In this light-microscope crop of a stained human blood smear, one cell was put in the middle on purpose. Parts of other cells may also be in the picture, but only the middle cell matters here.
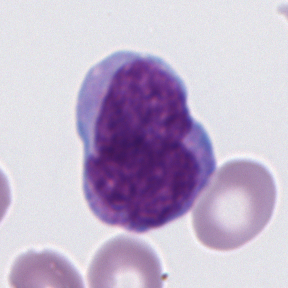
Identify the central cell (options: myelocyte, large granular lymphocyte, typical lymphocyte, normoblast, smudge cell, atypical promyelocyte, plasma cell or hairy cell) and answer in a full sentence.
In the centre of this crop there is an atypical promyelocyte.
